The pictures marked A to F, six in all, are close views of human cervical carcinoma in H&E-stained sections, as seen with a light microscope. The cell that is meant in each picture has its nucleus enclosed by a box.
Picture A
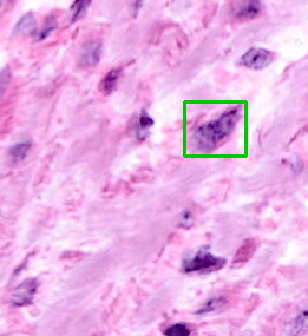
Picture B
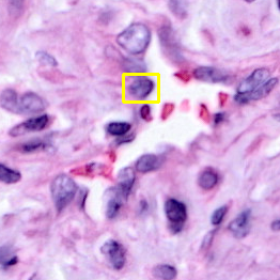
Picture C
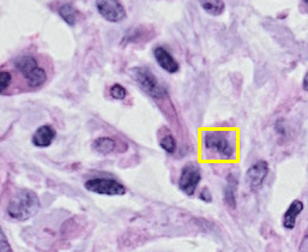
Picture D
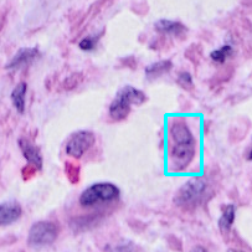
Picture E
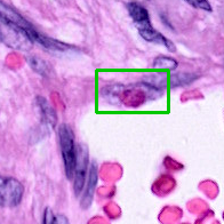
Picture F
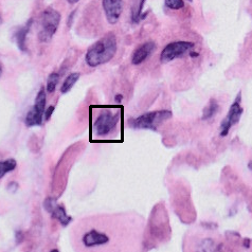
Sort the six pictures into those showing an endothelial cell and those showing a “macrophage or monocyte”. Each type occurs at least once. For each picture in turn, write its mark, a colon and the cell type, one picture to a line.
A: macrophage or monocyte
B: endothelial cell
C: macrophage or monocyte
D: macrophage or monocyte
E: endothelial cell
F: macrophage or monocyte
